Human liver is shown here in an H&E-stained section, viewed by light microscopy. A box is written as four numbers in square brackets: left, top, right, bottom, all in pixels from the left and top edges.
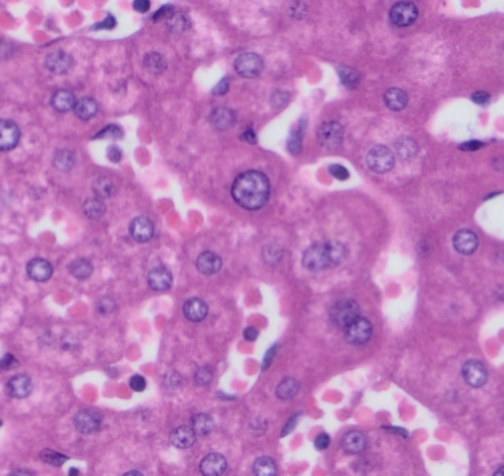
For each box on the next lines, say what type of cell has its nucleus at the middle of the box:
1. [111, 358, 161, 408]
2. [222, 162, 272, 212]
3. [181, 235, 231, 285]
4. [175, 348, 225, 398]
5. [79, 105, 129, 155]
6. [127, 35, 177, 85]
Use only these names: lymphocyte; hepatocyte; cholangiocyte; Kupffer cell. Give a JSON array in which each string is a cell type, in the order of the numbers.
["lymphocyte", "hepatocyte", "hepatocyte", "hepatocyte", "Kupffer cell", "hepatocyte"]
